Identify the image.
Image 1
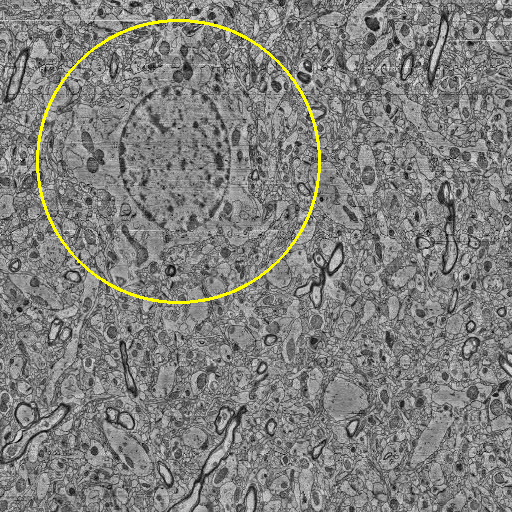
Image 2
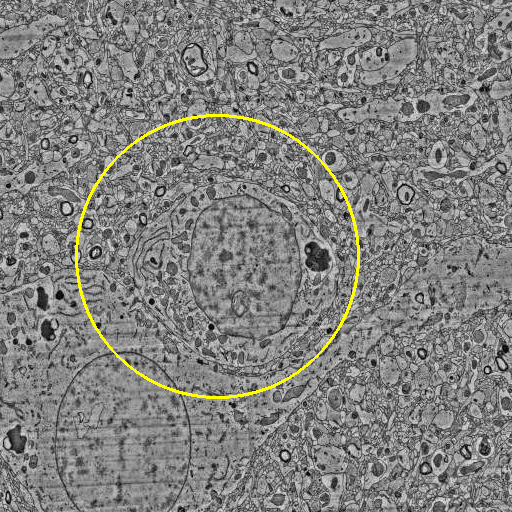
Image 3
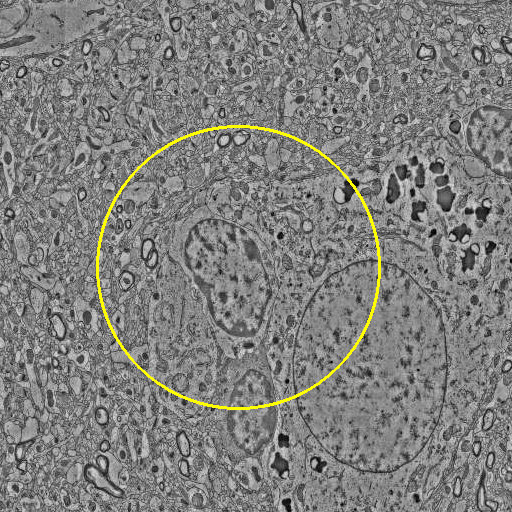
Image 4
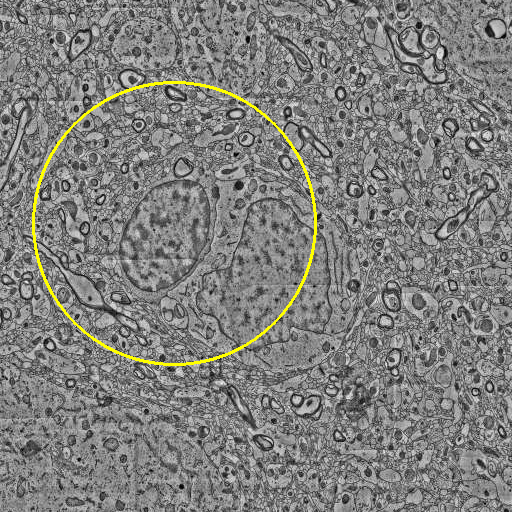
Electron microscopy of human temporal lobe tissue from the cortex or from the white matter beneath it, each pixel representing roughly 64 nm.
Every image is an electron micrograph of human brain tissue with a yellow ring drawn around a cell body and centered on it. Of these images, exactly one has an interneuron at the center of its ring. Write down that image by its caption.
Image 2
